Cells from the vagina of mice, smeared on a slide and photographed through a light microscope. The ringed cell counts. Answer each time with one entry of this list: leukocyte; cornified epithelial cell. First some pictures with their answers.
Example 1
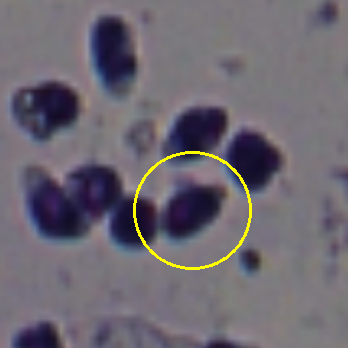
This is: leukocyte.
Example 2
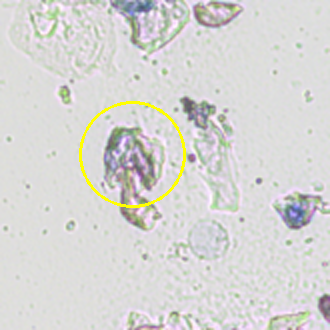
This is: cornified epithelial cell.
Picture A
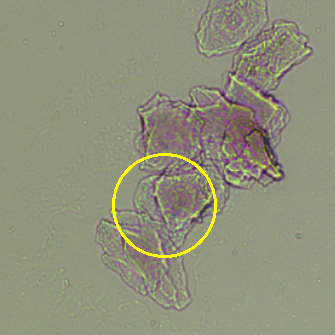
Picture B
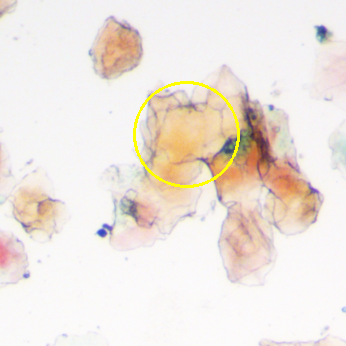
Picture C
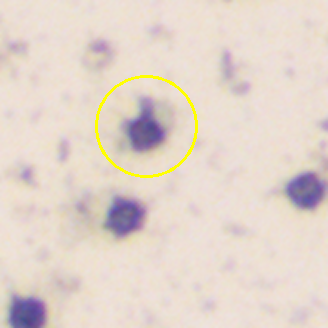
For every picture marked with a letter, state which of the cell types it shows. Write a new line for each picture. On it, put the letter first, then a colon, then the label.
A: cornified epithelial cell.
B: cornified epithelial cell.
C: leukocyte.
